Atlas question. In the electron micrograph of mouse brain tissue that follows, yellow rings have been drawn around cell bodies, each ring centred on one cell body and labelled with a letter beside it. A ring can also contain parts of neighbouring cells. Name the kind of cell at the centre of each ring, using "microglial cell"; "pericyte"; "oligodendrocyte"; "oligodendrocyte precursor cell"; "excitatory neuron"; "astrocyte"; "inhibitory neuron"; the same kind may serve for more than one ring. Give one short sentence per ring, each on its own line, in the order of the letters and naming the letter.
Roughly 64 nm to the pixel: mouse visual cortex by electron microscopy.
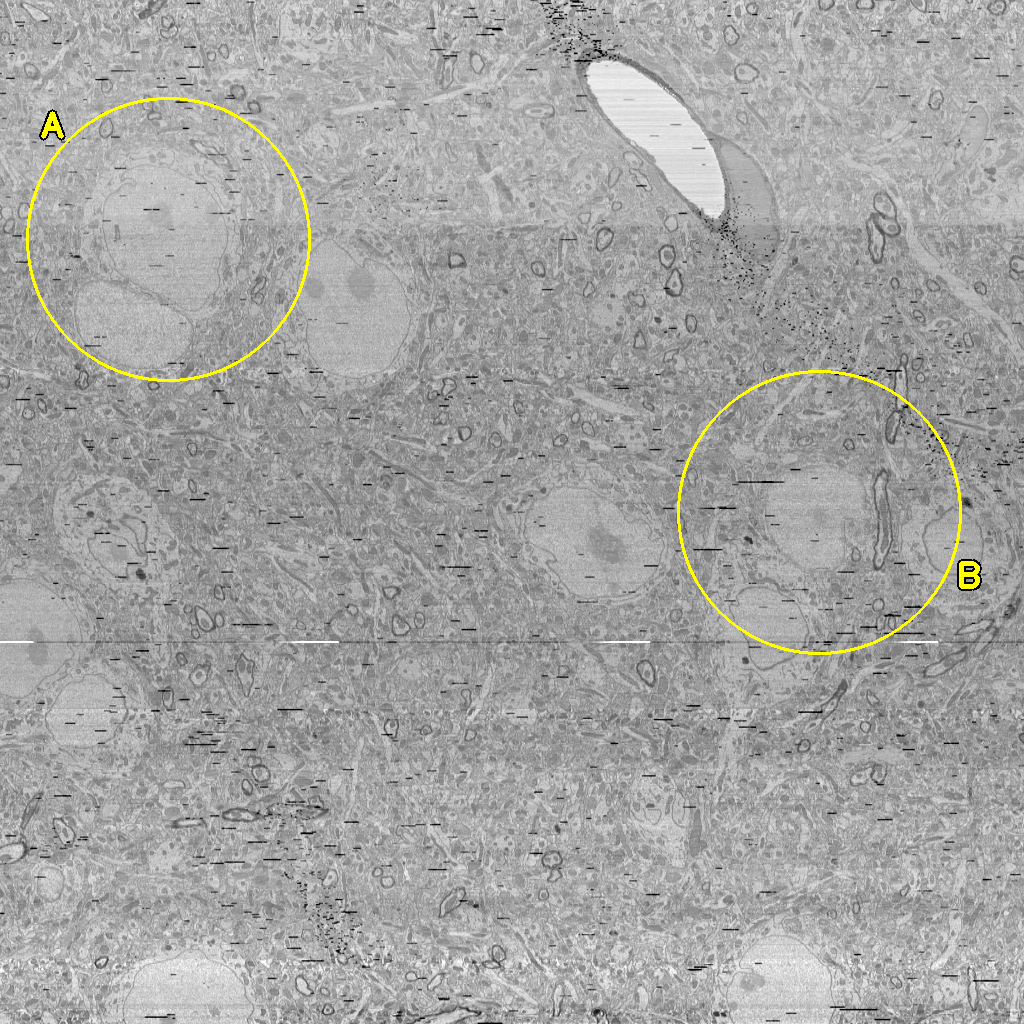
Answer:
For ring A, the cell at the centre is an excitatory neuron.
For ring B, the cell at the centre is an astrocyte.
